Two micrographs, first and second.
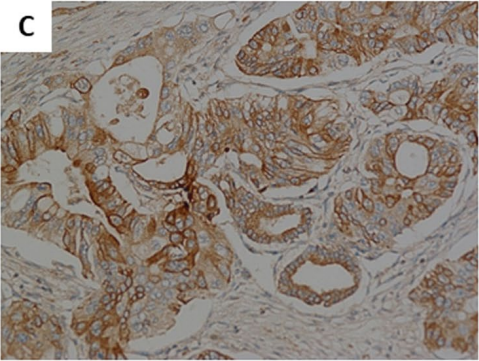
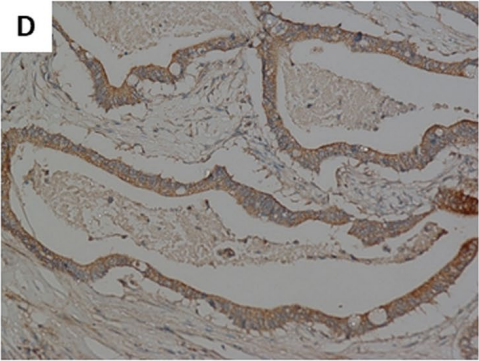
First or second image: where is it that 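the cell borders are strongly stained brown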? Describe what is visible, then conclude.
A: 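The first image. First image: dark brown lines outline individual epithelial cells.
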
